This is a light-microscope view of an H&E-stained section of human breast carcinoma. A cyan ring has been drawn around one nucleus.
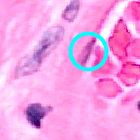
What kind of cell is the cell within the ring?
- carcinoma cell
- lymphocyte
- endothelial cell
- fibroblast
endothelial cell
